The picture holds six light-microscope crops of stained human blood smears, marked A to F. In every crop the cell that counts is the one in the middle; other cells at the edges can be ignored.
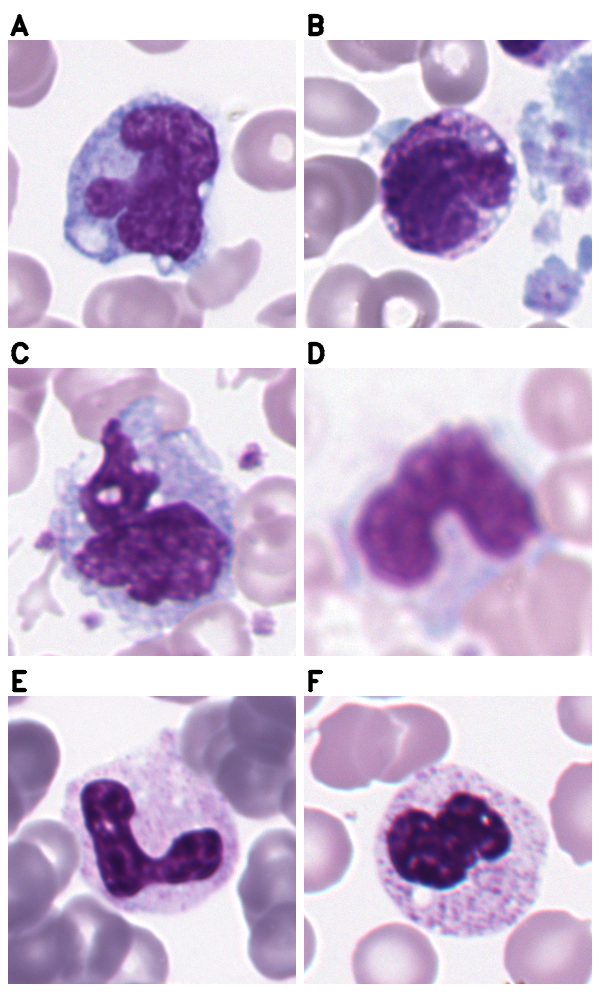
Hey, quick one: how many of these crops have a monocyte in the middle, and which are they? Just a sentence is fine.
In total, three crops show monocytes, namely A, C and D.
